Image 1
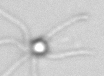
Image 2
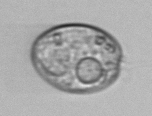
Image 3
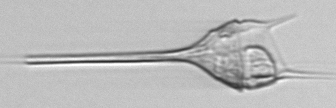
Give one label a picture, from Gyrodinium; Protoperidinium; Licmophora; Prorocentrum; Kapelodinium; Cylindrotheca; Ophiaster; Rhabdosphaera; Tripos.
1: Ophiaster
2: Prorocentrum
3: Tripos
